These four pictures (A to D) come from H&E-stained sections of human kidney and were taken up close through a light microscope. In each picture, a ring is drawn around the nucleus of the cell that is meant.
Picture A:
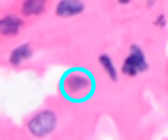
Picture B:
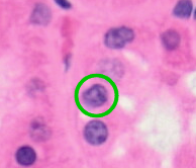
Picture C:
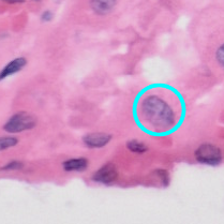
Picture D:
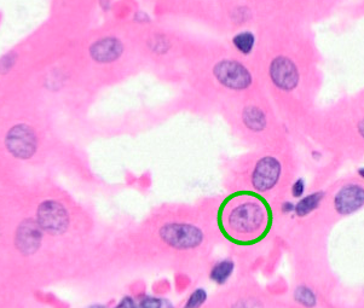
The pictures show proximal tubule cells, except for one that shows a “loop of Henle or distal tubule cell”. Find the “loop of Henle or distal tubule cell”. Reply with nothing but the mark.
A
